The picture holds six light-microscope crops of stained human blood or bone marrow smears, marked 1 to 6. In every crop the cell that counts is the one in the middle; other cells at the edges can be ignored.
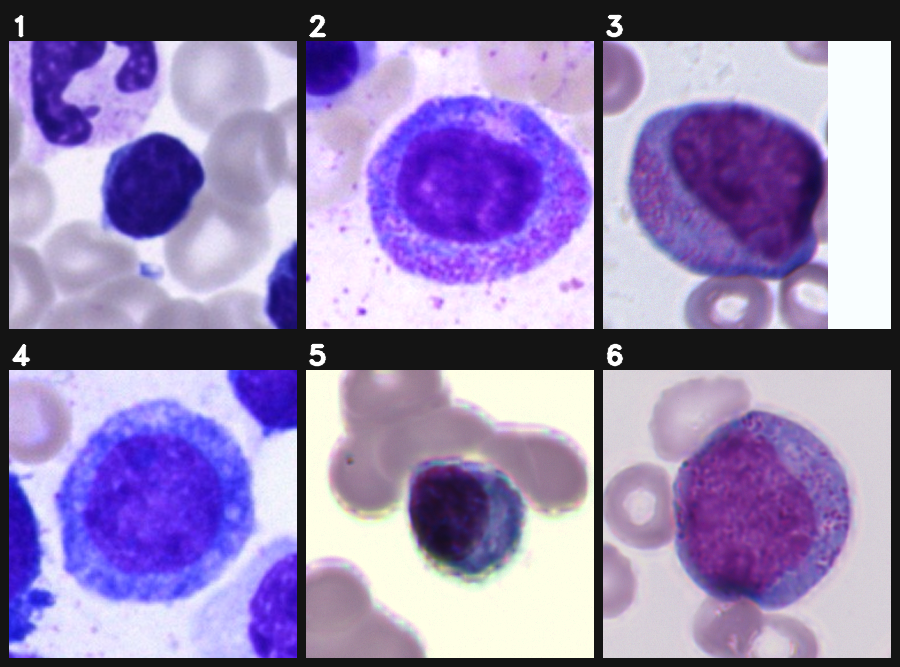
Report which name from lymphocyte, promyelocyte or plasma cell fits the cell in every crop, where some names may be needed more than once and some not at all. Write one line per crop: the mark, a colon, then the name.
1: lymphocyte
2: promyelocyte
3: promyelocyte
4: promyelocyte
5: plasma cell
6: promyelocyte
